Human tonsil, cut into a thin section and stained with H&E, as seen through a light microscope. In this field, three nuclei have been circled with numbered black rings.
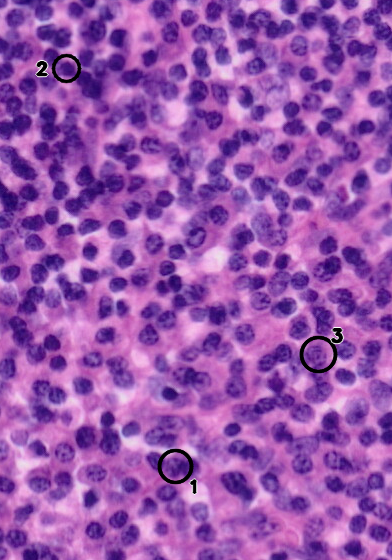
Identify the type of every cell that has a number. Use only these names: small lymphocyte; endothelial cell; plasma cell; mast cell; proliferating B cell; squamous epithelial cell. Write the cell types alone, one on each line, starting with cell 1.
plasma cell
small lymphocyte
plasma cell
